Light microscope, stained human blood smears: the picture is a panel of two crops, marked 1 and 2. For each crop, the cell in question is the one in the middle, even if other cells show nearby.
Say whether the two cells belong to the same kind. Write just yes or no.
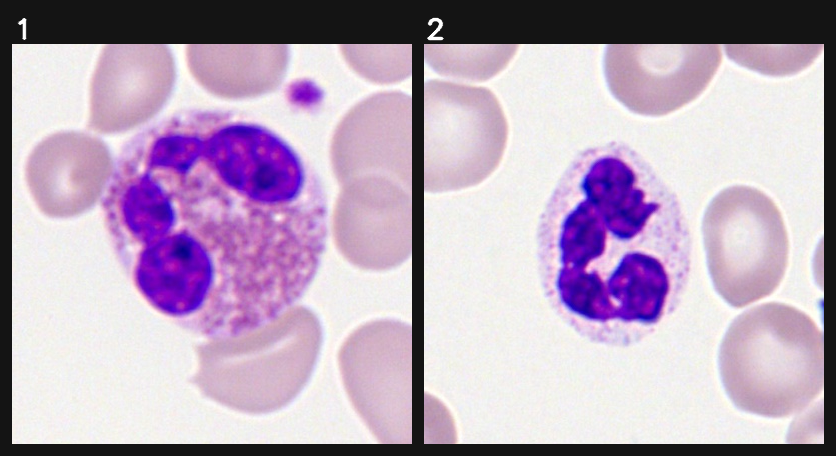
no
